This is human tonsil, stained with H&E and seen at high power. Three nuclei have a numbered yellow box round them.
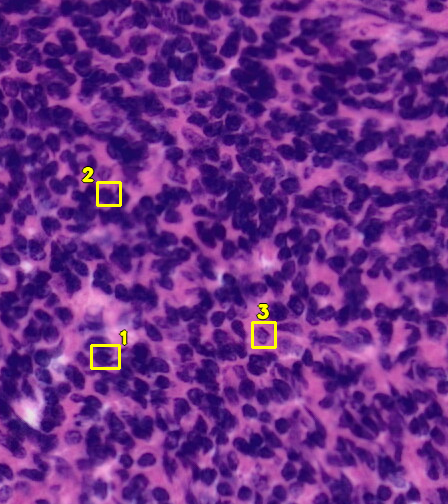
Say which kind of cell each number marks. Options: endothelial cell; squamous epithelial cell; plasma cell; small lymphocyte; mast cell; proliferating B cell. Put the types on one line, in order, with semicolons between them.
small lymphocyte; small lymphocyte; endothelial cell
